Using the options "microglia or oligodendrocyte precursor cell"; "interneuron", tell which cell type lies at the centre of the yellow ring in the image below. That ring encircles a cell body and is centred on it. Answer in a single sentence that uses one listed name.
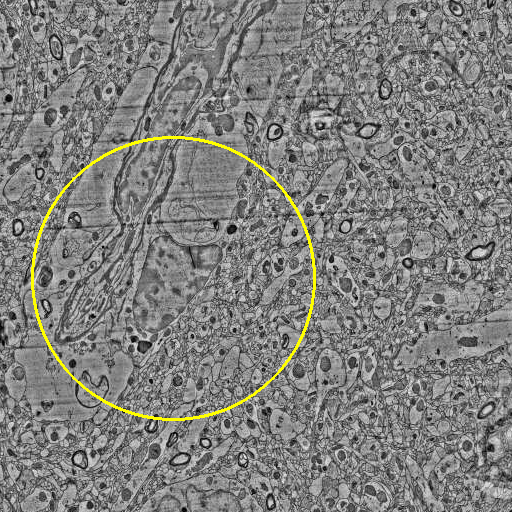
At the centre of the yellow ring lies the body of a microglial cell or oligodendrocyte precursor cell.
